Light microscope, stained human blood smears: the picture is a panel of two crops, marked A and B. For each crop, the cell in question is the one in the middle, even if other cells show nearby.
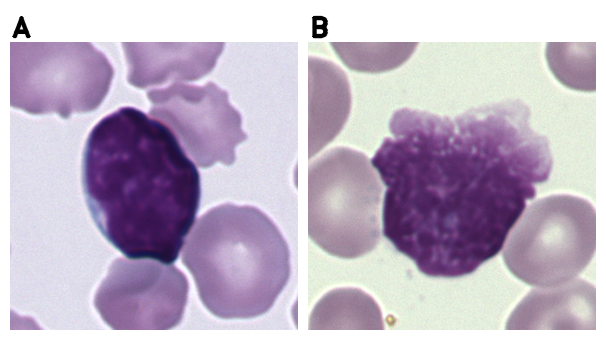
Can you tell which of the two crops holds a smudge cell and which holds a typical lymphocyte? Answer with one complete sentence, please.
Placed in the middle of crop A is a typical lymphocyte, and in the middle of crop B, a smudge cell.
